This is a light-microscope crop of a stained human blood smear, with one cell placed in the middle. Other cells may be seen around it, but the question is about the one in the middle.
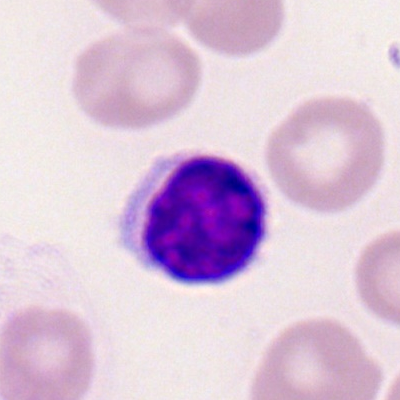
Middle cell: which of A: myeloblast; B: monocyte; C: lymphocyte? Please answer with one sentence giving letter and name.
The cell in the middle is correctly identified as a lymphocyte in option C.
